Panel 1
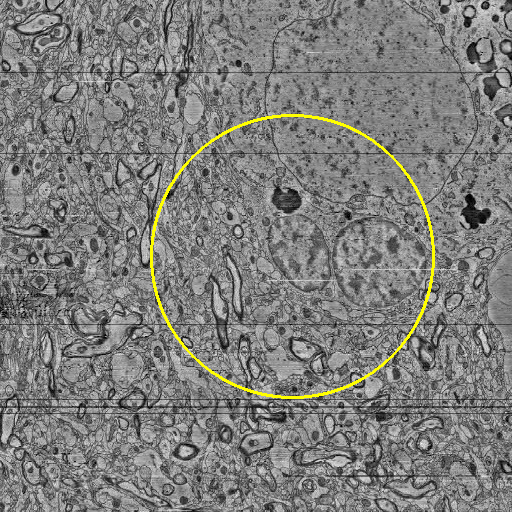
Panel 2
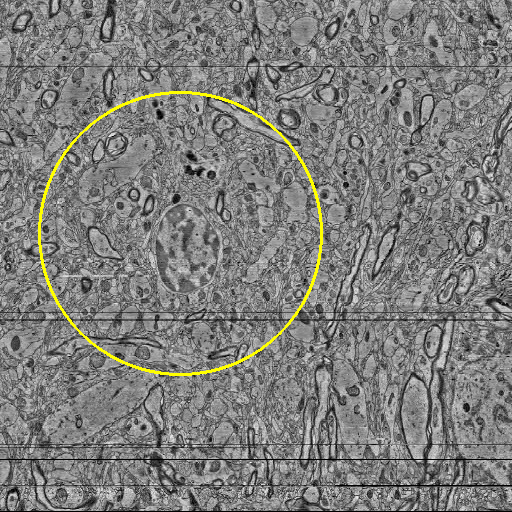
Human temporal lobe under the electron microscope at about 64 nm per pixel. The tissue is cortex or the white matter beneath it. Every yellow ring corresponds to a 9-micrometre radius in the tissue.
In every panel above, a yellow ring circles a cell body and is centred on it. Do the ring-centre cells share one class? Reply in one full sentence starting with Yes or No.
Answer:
No, the two cells at the ring centres in the panels belong to two classes.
